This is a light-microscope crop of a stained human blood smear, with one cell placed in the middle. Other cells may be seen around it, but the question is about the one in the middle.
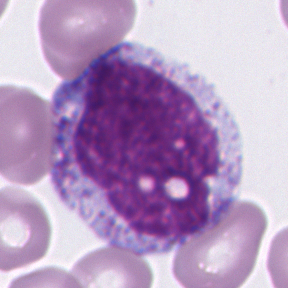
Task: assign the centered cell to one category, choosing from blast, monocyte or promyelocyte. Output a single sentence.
The cell of interest, in the center, is a promyelocyte.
